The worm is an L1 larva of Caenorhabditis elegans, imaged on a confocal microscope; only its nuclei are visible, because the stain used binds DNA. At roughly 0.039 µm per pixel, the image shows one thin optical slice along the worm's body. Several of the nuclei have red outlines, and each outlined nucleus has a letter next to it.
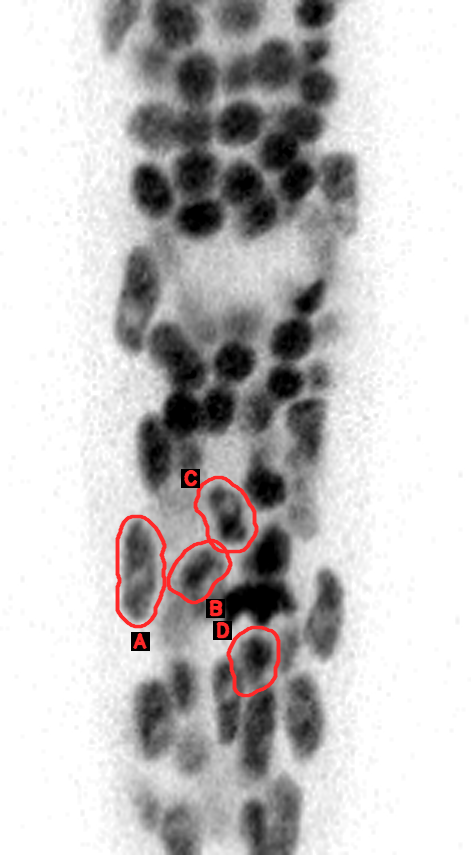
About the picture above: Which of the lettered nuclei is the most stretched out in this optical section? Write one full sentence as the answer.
Nucleus A is the longest relative to its width.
